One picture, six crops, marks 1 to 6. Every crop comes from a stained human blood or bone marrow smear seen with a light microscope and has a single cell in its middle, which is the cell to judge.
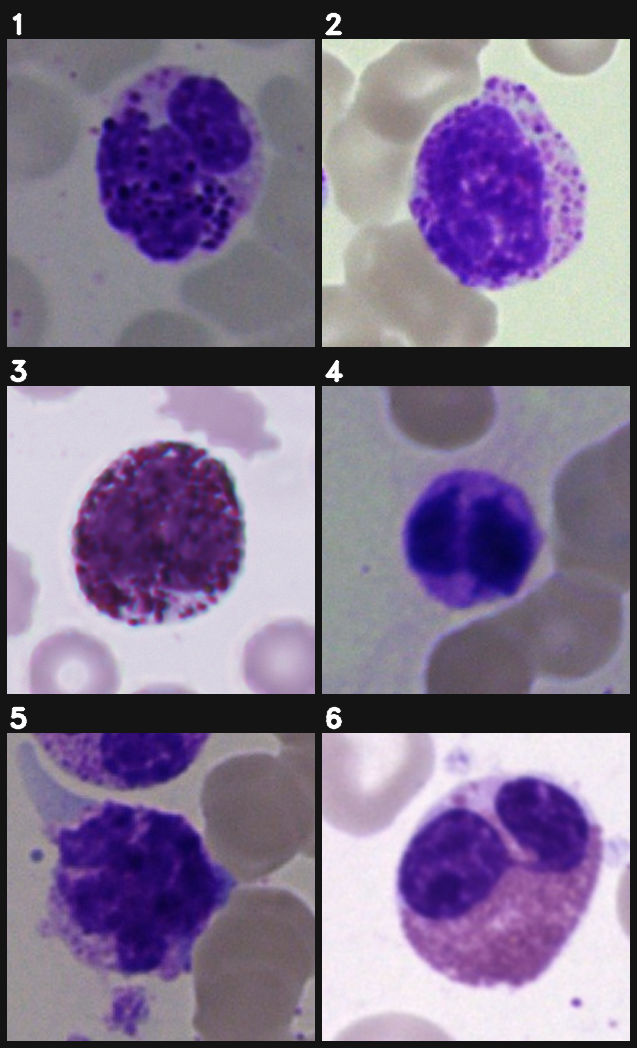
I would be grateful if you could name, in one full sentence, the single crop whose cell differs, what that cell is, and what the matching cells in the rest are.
Only in crop 6 is there an eosinophil; all other crops show basophils.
